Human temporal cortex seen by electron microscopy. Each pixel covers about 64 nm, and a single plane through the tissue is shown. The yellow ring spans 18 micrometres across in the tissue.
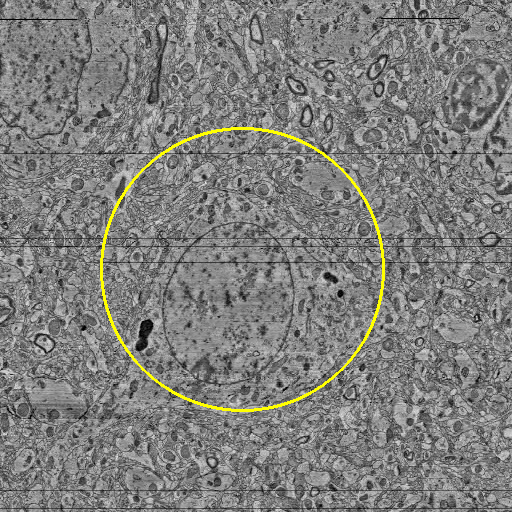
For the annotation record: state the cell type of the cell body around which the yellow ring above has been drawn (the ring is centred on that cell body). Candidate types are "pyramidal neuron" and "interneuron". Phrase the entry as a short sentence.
The ringed cell is a pyramidal neuron.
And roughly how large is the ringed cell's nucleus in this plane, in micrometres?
The nucleus is approximately 11 micrometers long by 9 micrometers wide in this plane.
